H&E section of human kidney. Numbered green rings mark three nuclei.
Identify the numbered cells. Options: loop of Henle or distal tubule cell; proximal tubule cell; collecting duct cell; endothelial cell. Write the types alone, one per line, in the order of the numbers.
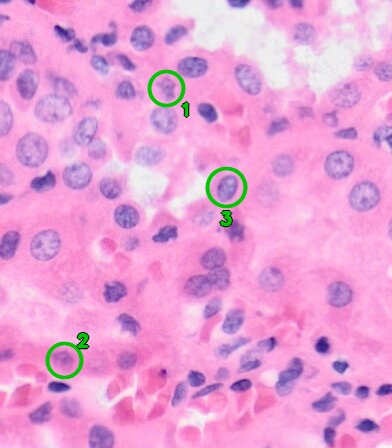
loop of Henle or distal tubule cell
proximal tubule cell
loop of Henle or distal tubule cell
